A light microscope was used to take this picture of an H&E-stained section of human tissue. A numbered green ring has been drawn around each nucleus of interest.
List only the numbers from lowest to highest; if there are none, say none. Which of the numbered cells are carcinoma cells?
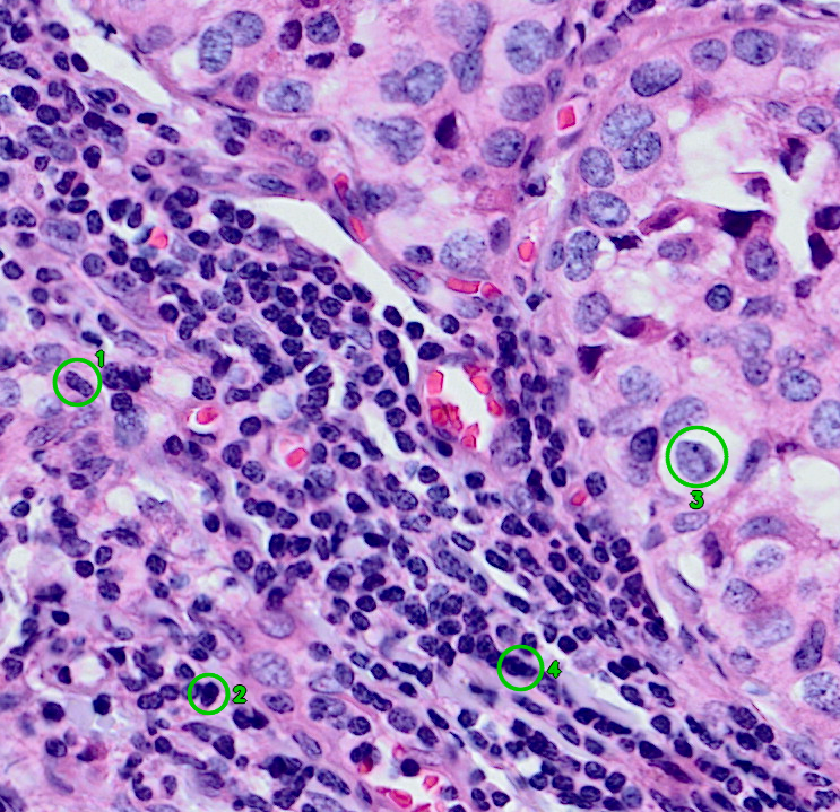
3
